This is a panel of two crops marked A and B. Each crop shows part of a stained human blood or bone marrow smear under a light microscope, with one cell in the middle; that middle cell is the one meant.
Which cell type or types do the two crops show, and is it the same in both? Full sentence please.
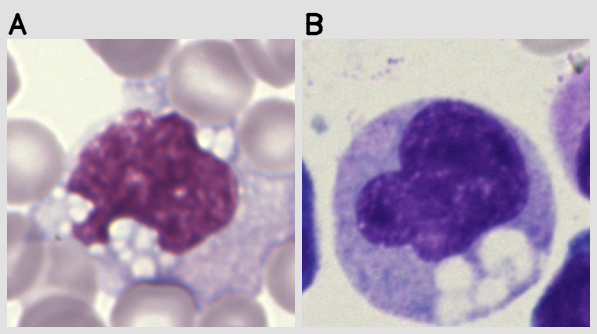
Yes, both crops alike show monocytes at the centre.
